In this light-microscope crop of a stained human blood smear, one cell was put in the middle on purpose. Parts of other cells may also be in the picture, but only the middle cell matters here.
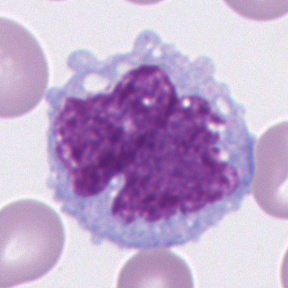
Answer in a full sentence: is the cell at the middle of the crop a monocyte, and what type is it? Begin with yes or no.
Yes, the cell in the middle is rightly called a monocyte.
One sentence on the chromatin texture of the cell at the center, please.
The chromatin pattern is fine and free of coarse clumps.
